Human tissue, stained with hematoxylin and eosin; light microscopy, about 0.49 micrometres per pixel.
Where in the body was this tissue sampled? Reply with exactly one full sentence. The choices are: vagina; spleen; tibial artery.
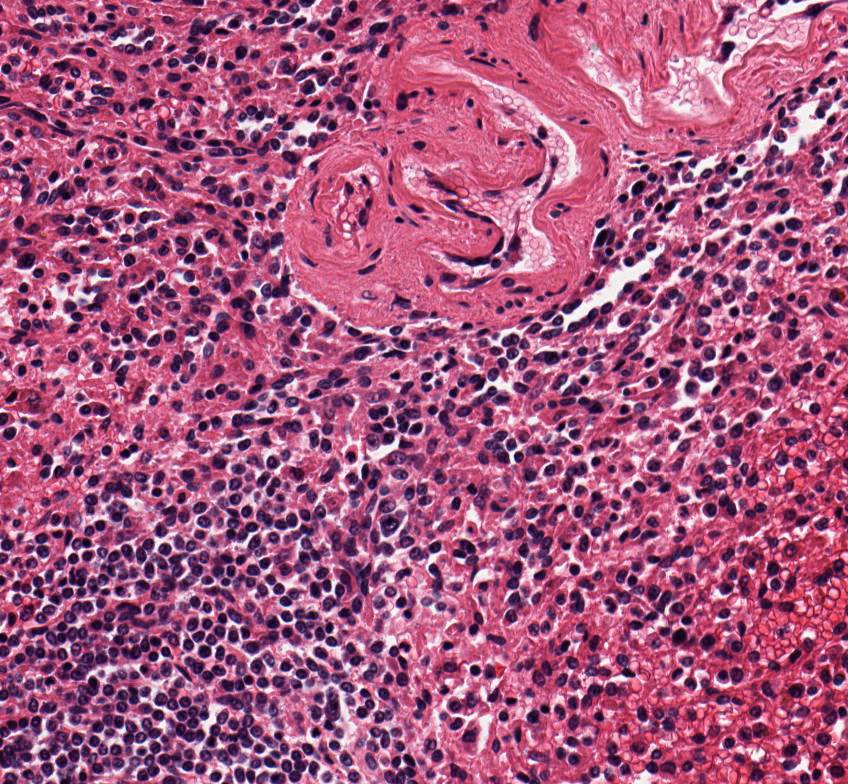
The tissue fragment was taken from the spleen.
